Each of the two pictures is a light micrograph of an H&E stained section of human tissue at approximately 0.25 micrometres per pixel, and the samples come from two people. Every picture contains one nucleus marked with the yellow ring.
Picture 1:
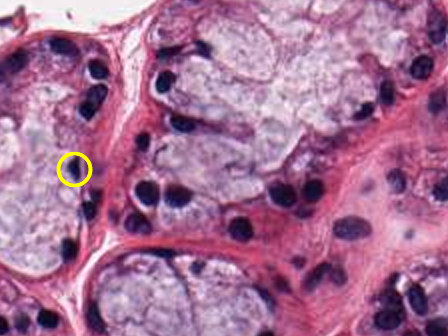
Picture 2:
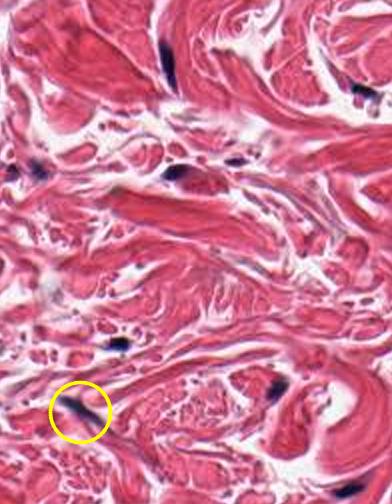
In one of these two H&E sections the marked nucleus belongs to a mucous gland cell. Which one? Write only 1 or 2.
1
